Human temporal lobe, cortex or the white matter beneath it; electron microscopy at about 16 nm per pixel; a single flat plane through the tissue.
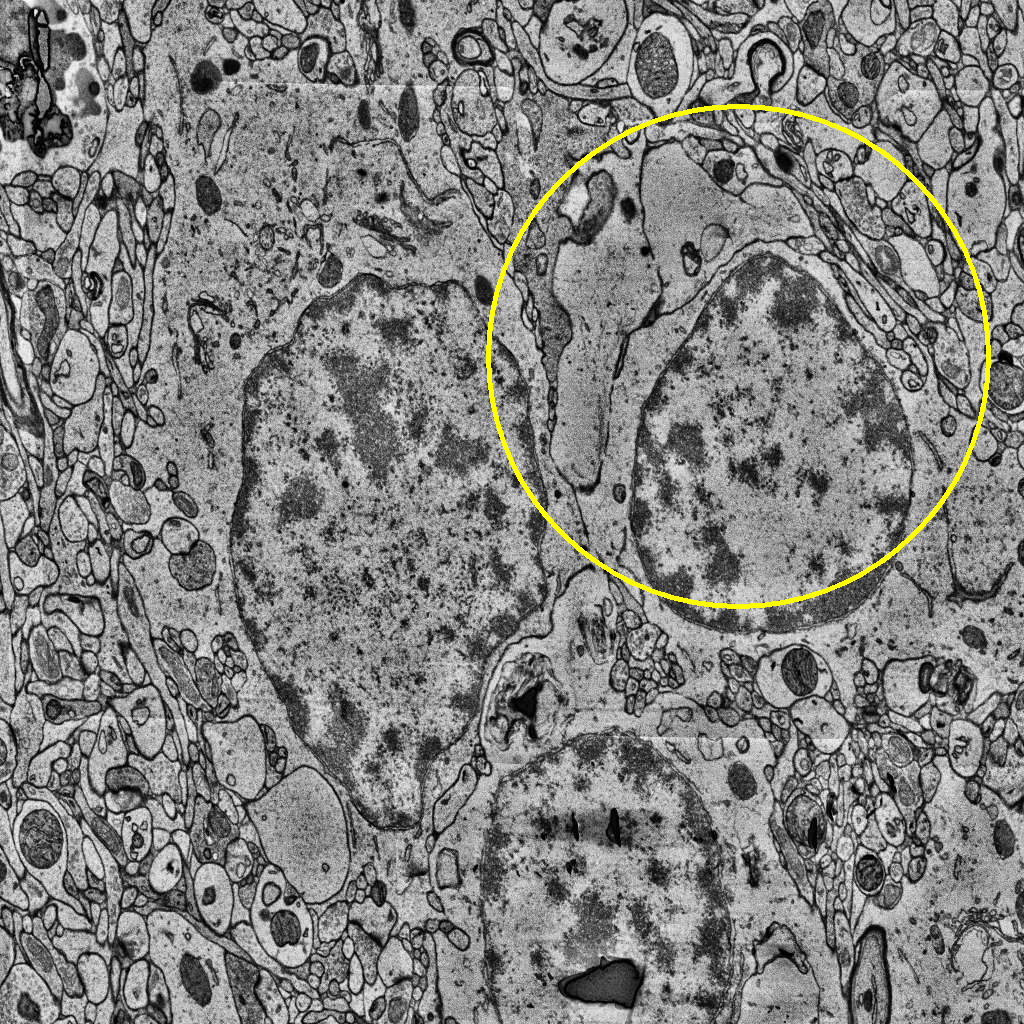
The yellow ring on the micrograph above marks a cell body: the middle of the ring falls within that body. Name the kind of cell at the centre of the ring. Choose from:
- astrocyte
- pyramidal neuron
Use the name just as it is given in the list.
astrocyte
